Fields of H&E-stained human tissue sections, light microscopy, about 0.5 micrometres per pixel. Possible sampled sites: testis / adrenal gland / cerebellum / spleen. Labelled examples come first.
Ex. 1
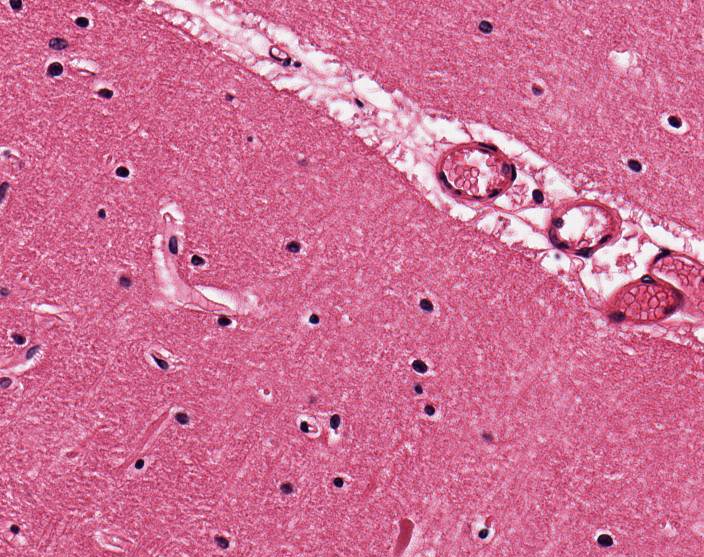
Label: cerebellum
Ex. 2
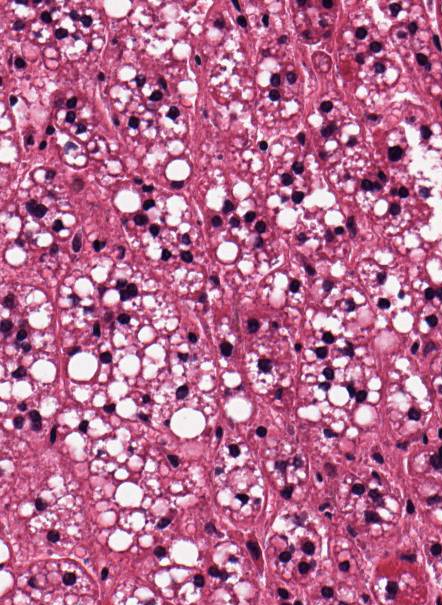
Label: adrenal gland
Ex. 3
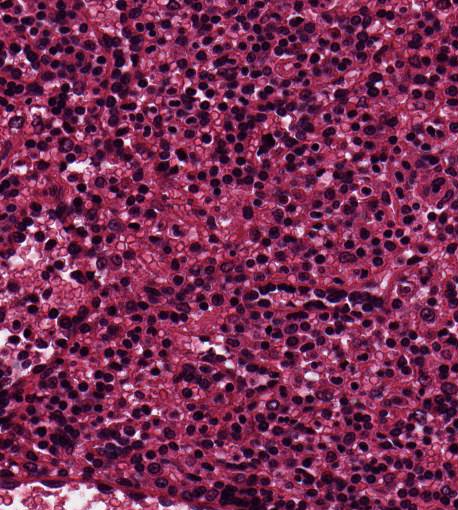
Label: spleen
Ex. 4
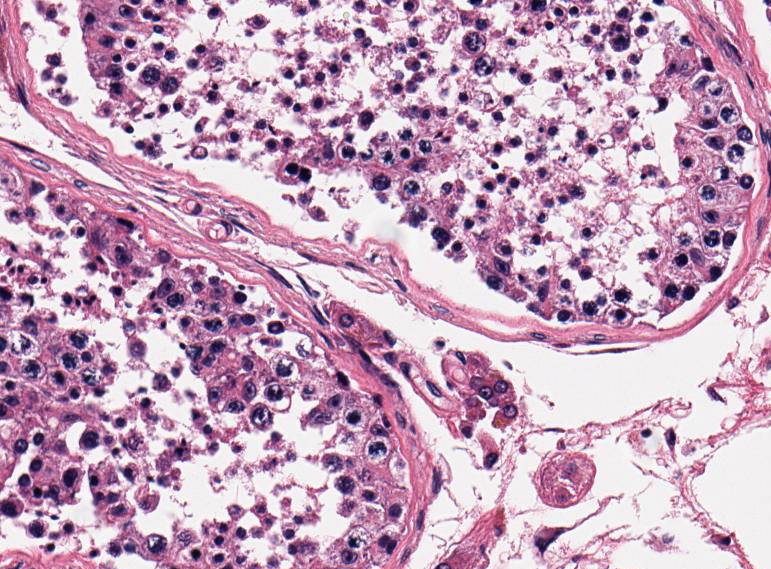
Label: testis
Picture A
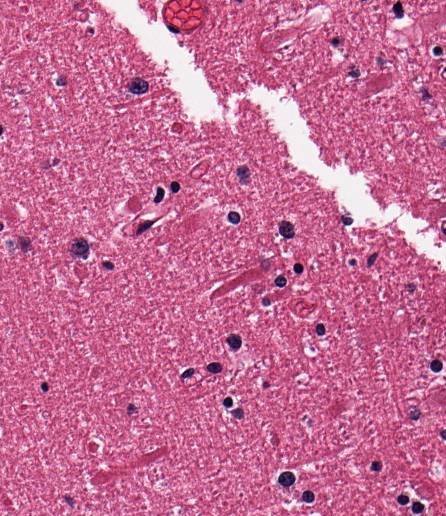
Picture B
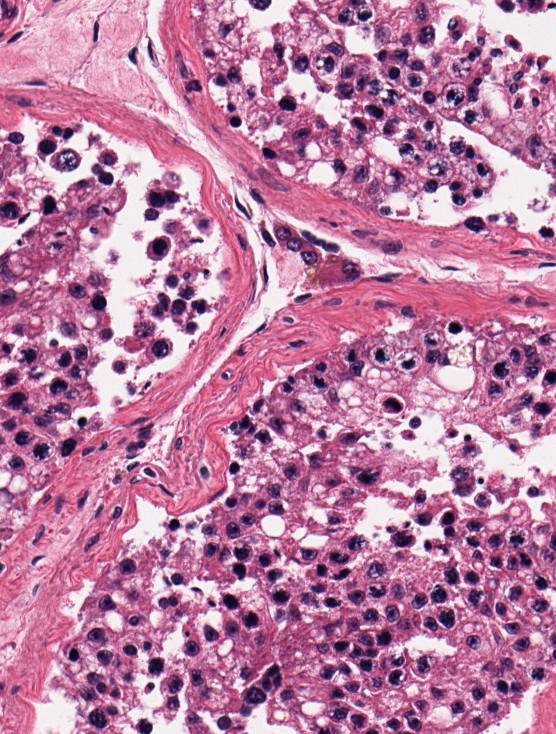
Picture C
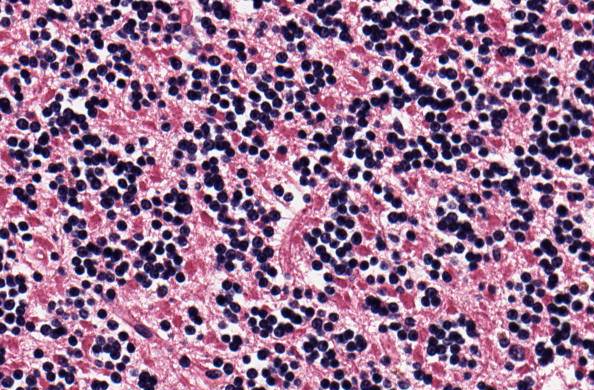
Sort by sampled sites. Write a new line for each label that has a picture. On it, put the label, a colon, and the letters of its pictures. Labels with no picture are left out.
testis: B
cerebellum: A, C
